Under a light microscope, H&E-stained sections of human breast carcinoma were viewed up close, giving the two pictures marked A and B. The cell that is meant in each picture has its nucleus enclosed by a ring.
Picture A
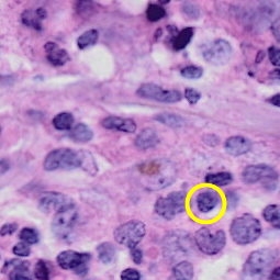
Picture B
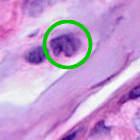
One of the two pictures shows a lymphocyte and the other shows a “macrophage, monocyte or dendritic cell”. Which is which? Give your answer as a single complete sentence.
Picture A is of a lymphocyte, and picture B is of a “macrophage, monocyte or dendritic cell”.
